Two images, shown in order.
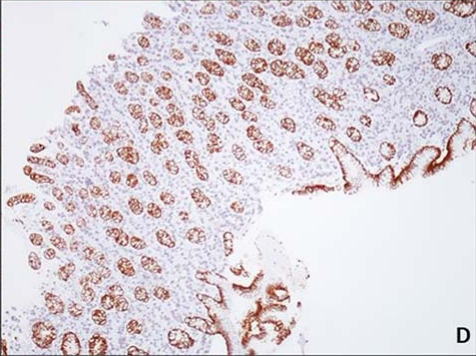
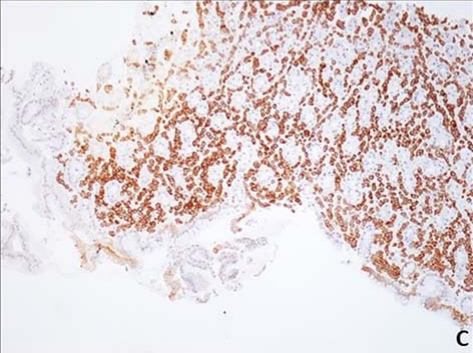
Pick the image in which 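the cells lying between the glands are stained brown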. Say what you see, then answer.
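First image: brown stain is confined to the gland rings and surface epithelium; the cells between glands are pale blue. Second image: the cells between the glands are densely brown while the glands are unstained.
The second image.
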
